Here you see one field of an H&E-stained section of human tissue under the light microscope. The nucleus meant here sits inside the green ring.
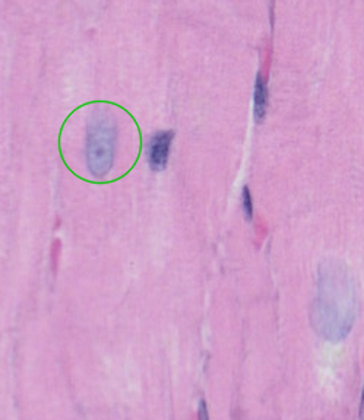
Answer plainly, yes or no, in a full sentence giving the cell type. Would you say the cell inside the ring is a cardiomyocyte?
Yes, by cell type, the cell inside the ring is a cardiomyocyte.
